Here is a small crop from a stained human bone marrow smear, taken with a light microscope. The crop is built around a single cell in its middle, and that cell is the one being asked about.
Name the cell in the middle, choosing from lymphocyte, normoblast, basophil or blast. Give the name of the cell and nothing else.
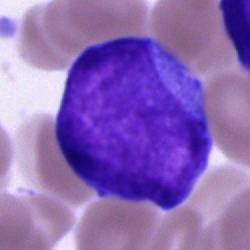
blast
